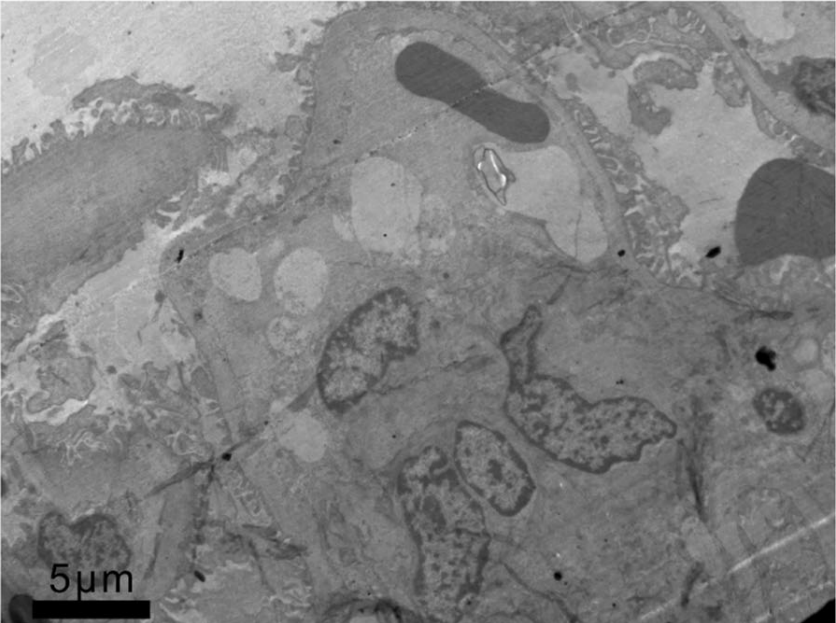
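This is a glomerulus in which a central mesangial region is crowded with several cells that have irregular, lobed nuclei with clumped chromatin. These cells lie in a broad, moderately dense grey matrix. Around this region run capillary loops. Some of the loops hold dark, elongated red blood cells, and podocyte foot processes border the outer side of their walls.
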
